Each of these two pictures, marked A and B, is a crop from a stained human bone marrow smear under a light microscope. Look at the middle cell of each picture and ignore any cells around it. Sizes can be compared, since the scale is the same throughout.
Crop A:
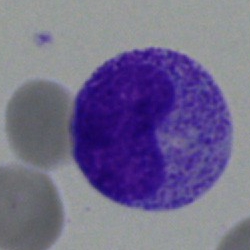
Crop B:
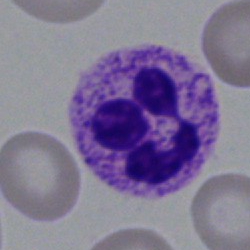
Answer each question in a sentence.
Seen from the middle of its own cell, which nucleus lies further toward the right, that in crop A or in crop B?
The nucleus in crop B lies further toward the right of its cell.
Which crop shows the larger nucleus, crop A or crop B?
Crop A shows the larger nucleus; it covers about 1.5 times the area of the nucleus in crop B.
